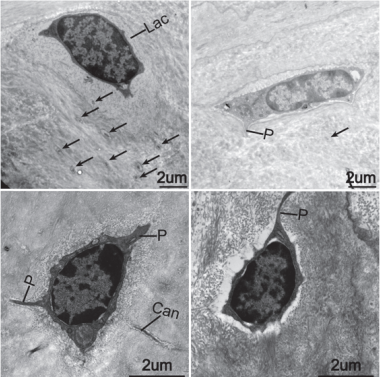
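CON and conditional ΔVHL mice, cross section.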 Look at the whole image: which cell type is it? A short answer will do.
Osteocytes.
